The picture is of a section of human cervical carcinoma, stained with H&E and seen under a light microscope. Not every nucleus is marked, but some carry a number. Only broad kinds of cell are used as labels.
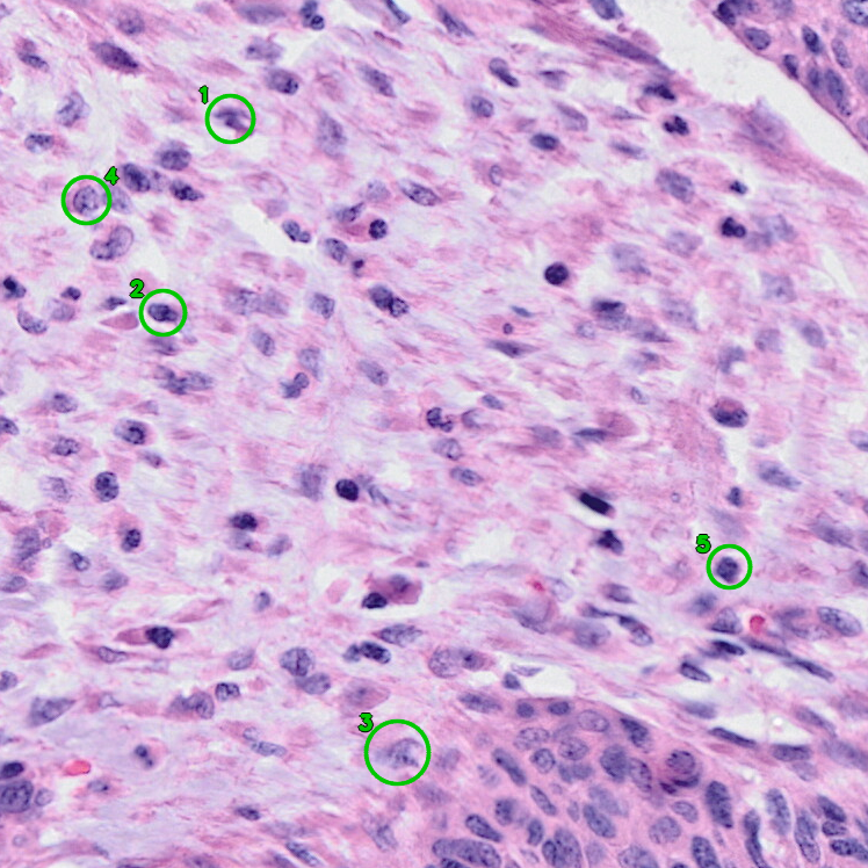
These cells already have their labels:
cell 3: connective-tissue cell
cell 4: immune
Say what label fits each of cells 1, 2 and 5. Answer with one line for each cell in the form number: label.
1: connective-tissue cell
2: immune
5: immune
